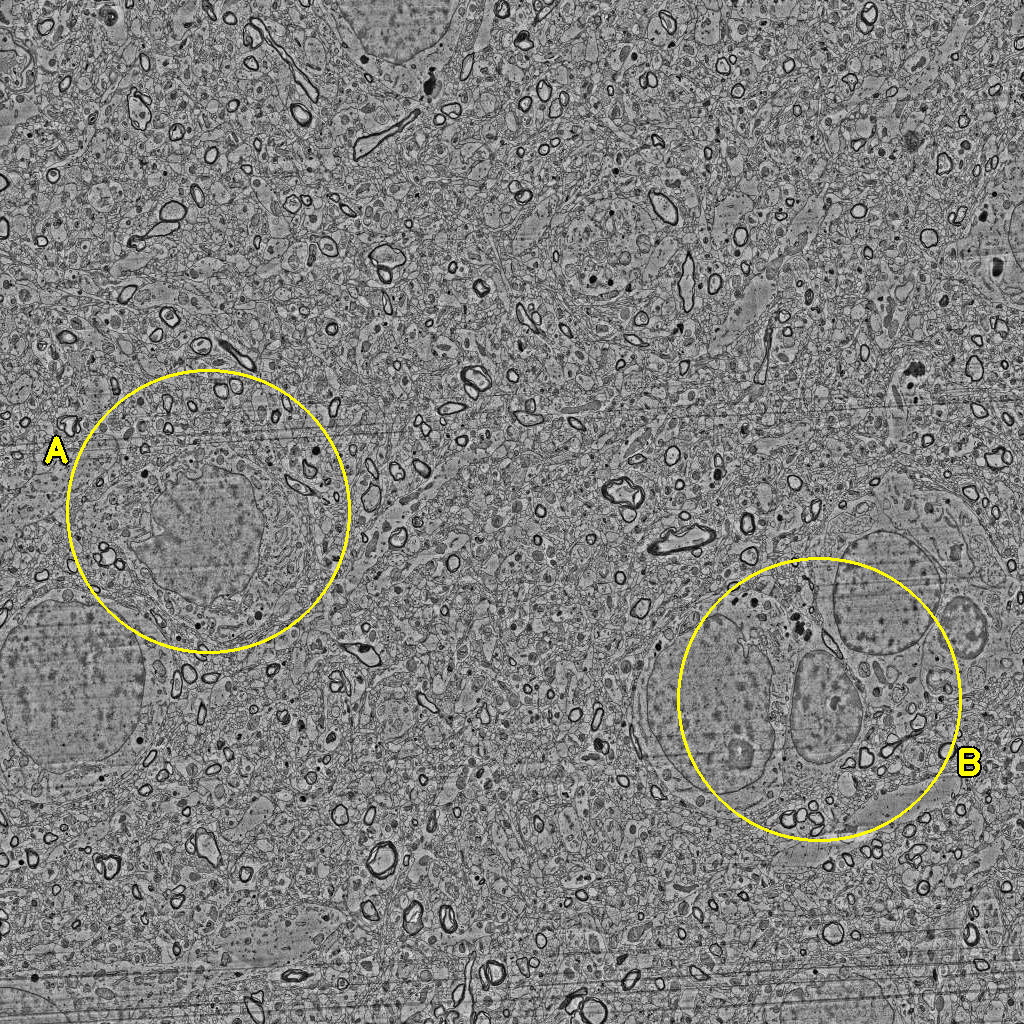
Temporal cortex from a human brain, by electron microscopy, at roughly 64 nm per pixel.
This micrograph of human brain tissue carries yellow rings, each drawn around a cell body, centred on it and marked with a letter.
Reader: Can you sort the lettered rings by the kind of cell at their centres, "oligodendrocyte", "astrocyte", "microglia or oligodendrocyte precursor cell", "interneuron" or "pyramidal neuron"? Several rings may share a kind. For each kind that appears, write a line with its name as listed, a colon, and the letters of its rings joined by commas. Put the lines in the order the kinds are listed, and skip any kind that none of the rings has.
oligodendrocyte: B
interneuron: A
